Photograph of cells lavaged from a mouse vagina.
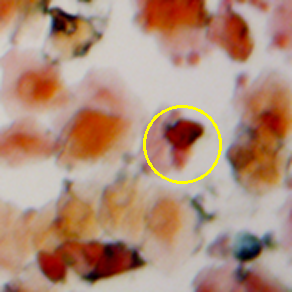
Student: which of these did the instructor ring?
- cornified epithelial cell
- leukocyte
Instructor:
The cell I ringed is a cornified epithelial cell.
